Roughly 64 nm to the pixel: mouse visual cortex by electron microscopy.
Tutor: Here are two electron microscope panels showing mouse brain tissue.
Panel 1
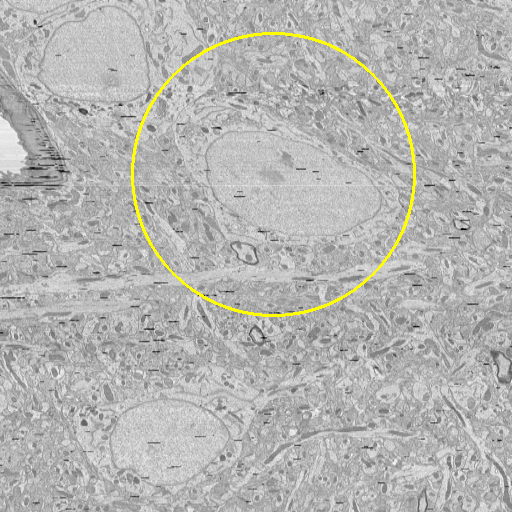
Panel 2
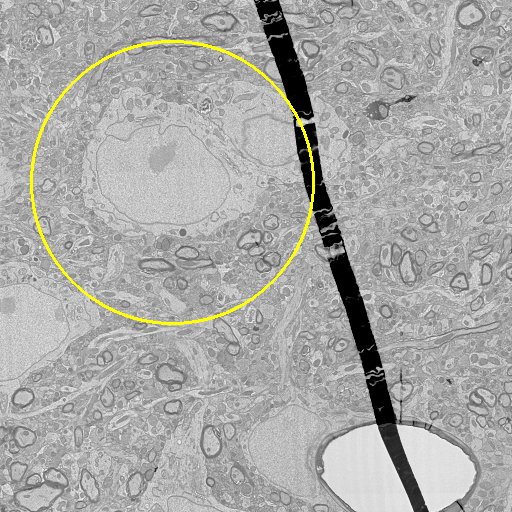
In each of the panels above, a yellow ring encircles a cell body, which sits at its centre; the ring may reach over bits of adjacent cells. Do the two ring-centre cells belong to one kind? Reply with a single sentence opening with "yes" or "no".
No, the two cells sitting at the ring centres in the panels belong to two kinds.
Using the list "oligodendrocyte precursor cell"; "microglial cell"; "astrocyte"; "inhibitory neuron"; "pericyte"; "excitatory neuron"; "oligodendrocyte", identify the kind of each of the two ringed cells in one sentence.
The first is an inhibitory neuron and the second is an excitatory neuron.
